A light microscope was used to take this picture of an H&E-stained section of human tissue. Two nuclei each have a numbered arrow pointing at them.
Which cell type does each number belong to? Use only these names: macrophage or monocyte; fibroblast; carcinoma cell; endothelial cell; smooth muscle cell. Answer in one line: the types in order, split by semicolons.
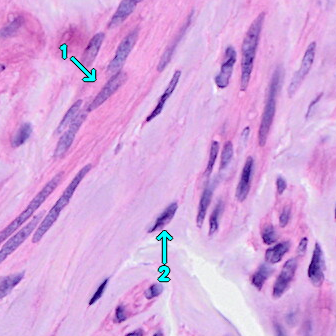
smooth muscle cell; fibroblast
